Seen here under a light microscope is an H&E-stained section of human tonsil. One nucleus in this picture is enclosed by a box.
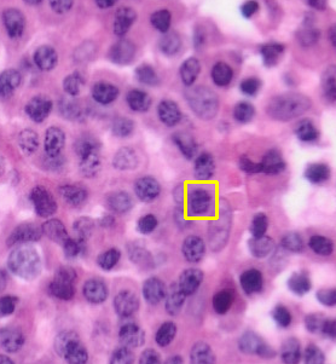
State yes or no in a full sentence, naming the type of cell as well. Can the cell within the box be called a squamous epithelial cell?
No, the cell within the box is not a squamous epithelial cell; the correct answer is a plasma cell.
